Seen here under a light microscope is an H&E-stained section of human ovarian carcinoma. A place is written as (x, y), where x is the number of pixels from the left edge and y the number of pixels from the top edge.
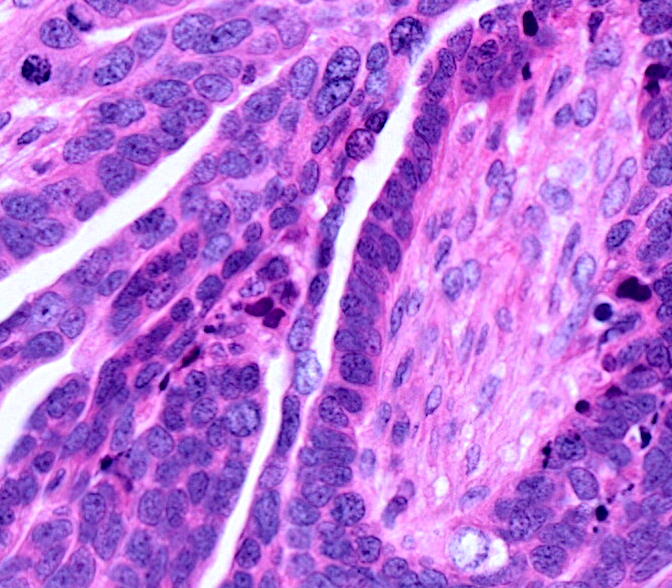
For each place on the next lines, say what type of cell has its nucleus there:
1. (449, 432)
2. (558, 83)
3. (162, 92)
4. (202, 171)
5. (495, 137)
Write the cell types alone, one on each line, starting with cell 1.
fibroblast
fibroblast
carcinoma cell
carcinoma cell
fibroblast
